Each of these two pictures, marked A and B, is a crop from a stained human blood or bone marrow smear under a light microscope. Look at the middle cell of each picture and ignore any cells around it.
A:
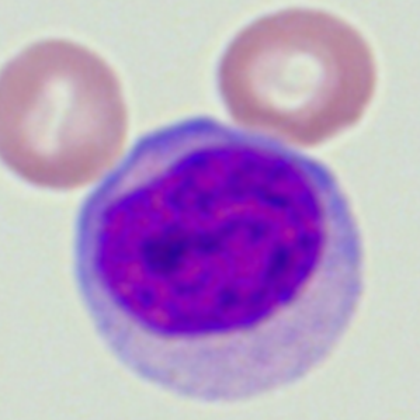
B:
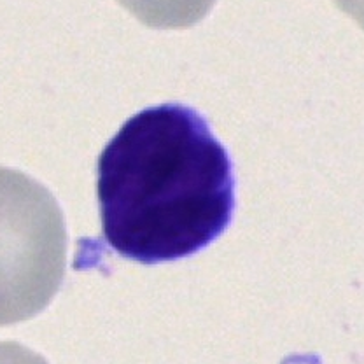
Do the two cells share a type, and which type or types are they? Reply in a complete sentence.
Yes, the cells found in the middle of both crops are lymphocytes.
